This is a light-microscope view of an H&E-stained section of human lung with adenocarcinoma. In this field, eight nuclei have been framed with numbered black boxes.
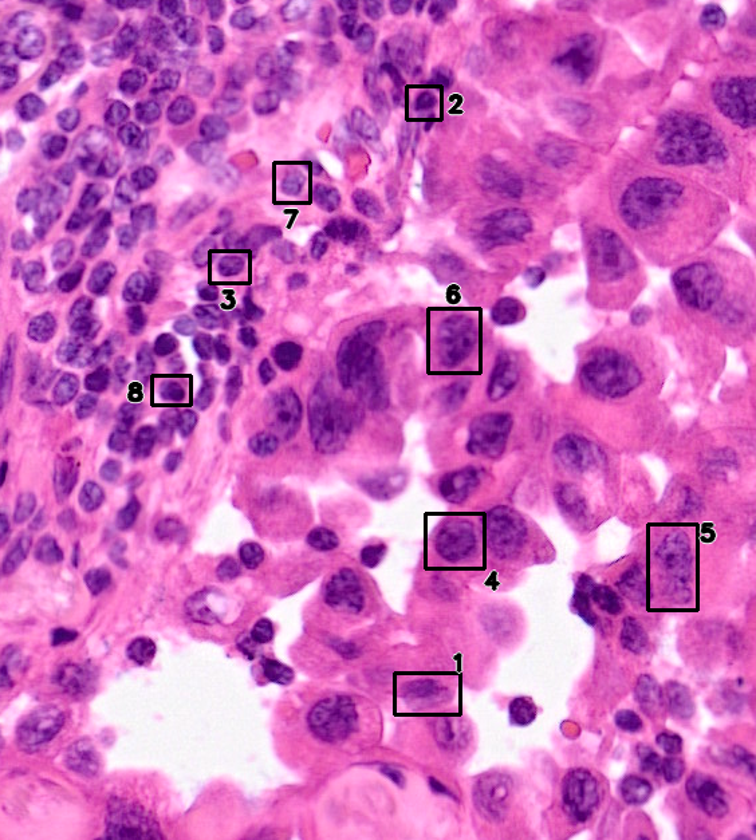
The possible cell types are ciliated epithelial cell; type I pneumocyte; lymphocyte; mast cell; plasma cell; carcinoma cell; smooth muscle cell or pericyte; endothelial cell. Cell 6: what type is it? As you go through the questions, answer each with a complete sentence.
The cell numbered 6 has been identified as a carcinoma cell.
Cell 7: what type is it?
The cell identified by the number 7 is a lymphocyte.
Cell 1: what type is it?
The cell whose nucleus carries the number 1 is a carcinoma cell.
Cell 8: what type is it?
The cell that bears the number 8 is a lymphocyte.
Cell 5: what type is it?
Marked with the number 5, this cell is a carcinoma cell.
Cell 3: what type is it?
The cell marked with the number 3 is a lymphocyte.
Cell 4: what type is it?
The expected answer is that cell 4 is a carcinoma cell.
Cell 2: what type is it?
The identity of cell 2 is that of a lymphocyte.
